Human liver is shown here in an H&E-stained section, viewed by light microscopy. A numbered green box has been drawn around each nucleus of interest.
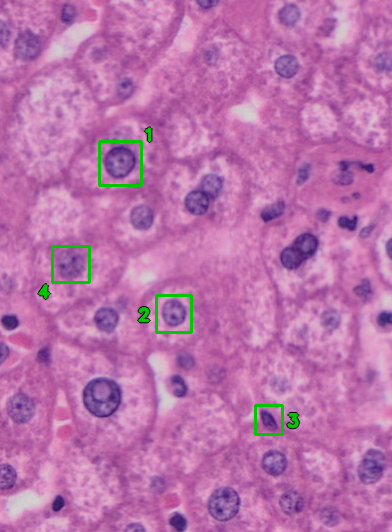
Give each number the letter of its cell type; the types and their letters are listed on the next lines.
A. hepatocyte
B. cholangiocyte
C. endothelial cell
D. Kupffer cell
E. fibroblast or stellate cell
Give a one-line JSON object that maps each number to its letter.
{"1": "A", "2": "A", "3": "E", "4": "A"}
